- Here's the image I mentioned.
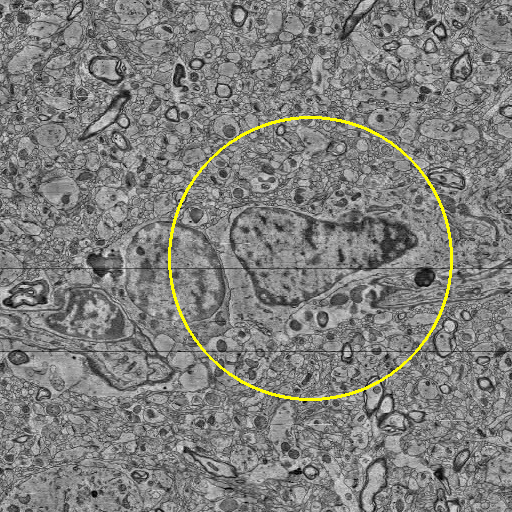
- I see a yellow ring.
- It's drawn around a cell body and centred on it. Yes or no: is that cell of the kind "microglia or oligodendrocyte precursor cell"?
yes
